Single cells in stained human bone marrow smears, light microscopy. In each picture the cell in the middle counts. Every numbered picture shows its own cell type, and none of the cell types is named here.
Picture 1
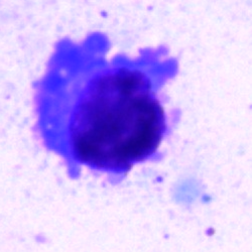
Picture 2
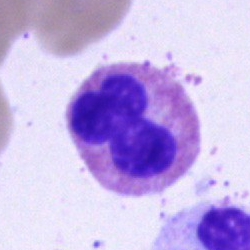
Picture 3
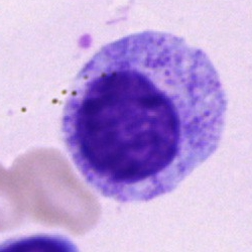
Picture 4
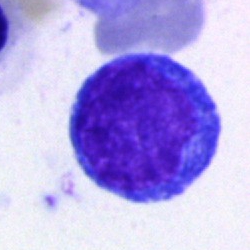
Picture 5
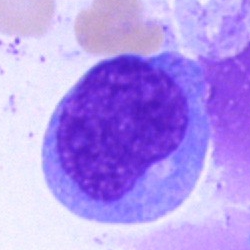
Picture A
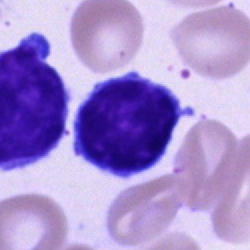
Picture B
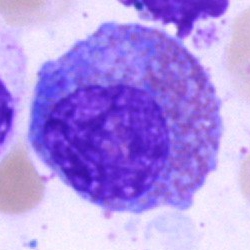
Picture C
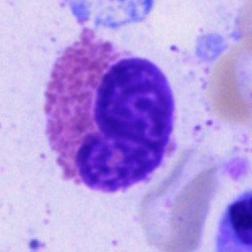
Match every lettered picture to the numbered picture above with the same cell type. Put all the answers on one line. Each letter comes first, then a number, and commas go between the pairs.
A 4, B 2, C 2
